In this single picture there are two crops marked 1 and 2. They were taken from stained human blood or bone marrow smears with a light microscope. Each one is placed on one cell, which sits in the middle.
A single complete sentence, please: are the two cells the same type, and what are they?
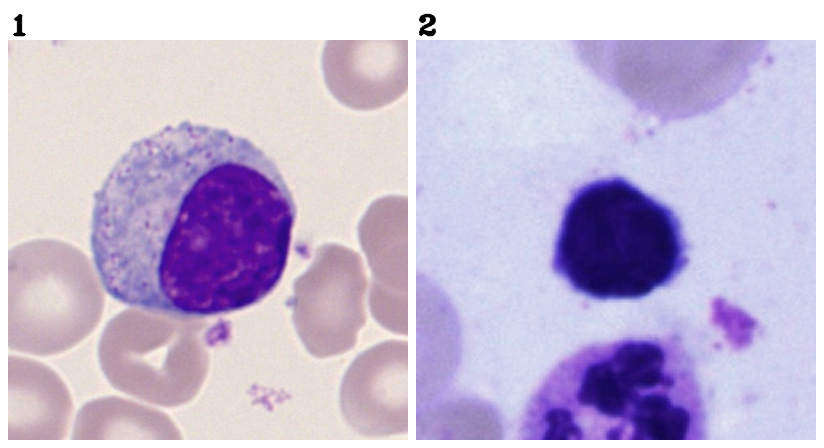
Yes, both crops, not just one, show lymphocytes.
